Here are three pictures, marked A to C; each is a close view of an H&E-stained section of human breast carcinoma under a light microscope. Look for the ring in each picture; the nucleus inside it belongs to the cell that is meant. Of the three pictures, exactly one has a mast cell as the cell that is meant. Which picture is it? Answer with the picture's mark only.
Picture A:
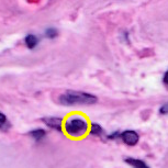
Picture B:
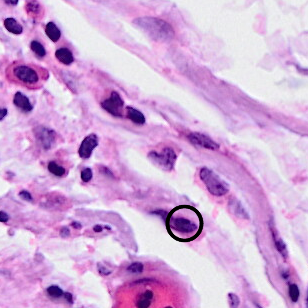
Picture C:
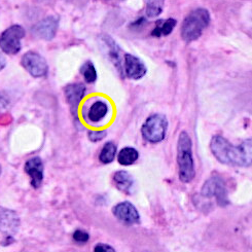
B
